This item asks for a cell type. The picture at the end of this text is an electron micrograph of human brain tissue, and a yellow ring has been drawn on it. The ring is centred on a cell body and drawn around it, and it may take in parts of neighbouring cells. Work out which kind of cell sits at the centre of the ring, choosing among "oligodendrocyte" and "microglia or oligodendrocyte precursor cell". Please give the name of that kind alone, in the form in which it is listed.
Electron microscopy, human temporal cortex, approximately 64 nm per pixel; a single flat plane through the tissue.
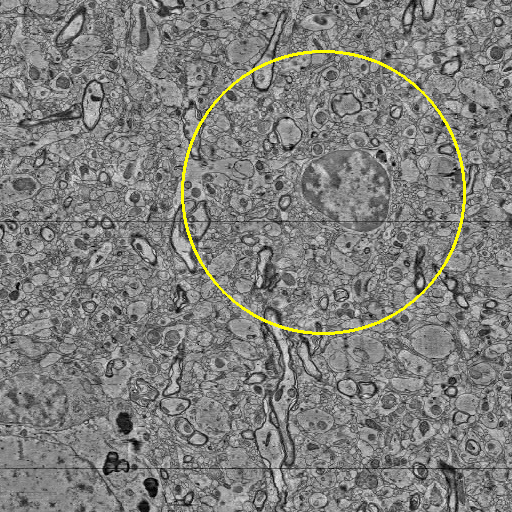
microglia or oligodendrocyte precursor cell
